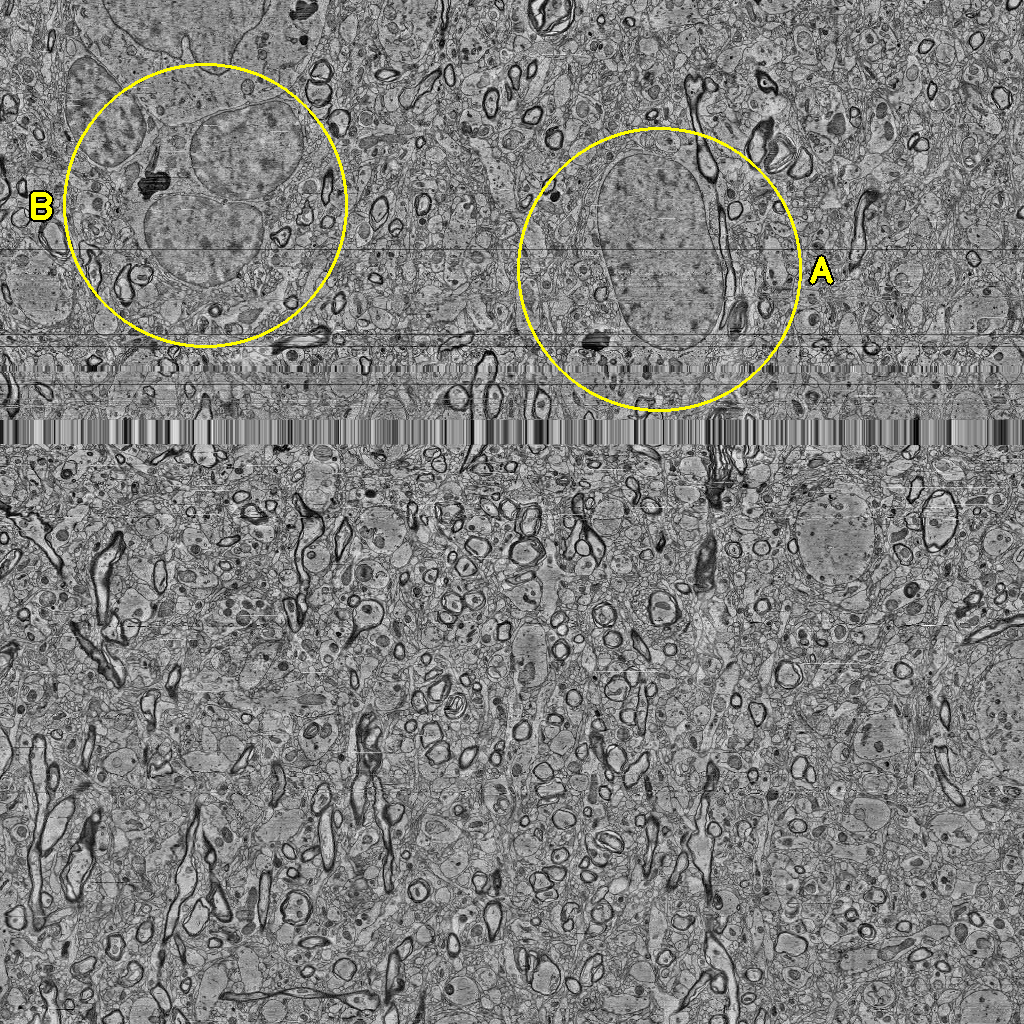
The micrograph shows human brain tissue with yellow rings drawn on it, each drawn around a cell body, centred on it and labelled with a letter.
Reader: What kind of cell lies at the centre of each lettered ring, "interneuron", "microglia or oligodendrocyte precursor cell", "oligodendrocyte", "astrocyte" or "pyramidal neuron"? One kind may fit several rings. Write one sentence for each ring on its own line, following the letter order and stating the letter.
At the centre of ring A lies a microglial cell or oligodendrocyte precursor cell.
At the centre of ring B lies an oligodendrocyte.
